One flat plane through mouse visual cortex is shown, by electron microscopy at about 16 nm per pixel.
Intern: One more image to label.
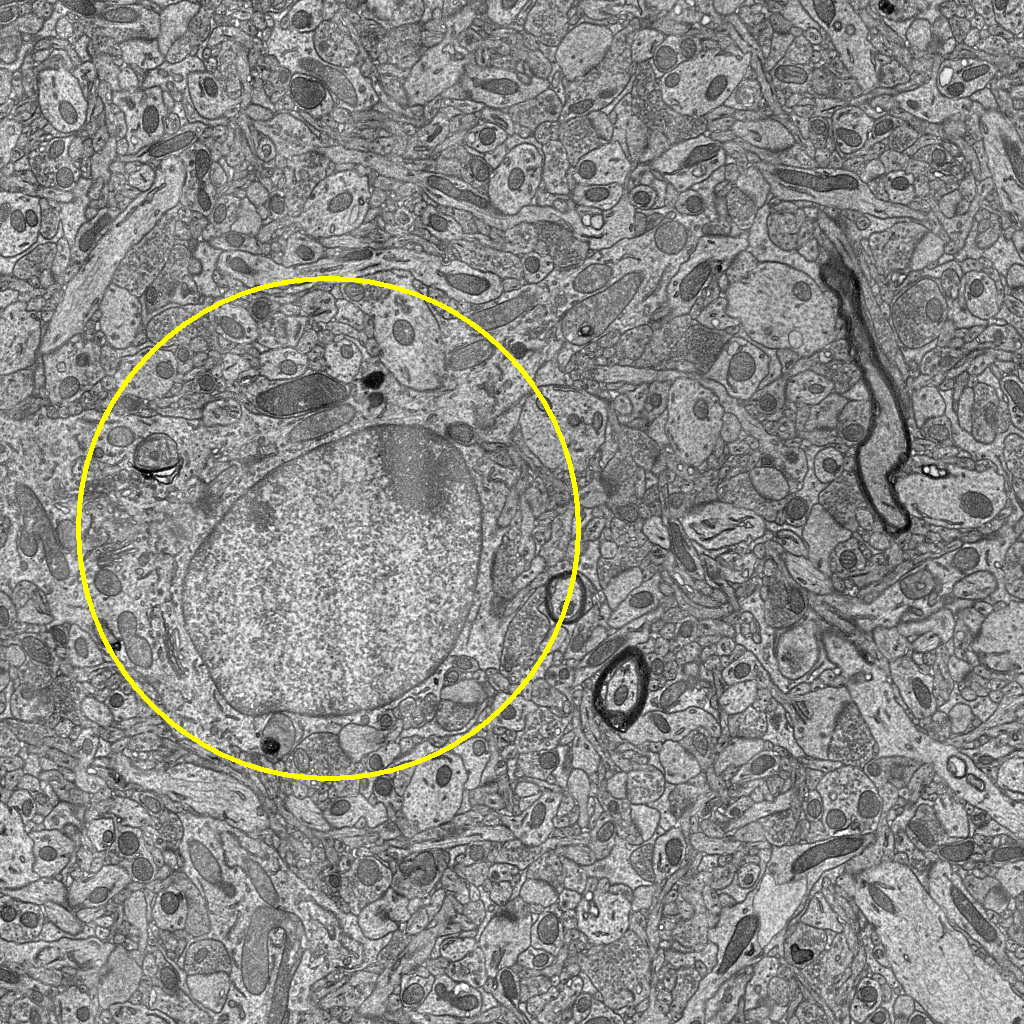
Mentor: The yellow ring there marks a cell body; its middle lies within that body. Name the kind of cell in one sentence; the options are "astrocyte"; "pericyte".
The ring marks the cell body of an astrocyte.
